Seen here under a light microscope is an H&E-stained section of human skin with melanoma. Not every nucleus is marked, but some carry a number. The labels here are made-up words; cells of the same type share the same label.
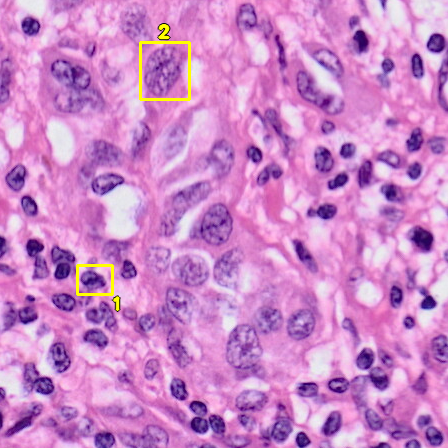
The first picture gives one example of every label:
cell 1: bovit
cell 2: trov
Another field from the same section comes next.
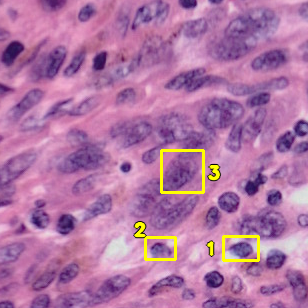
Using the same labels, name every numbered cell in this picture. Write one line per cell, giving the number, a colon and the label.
1: bovit
2: bovit
3: trov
